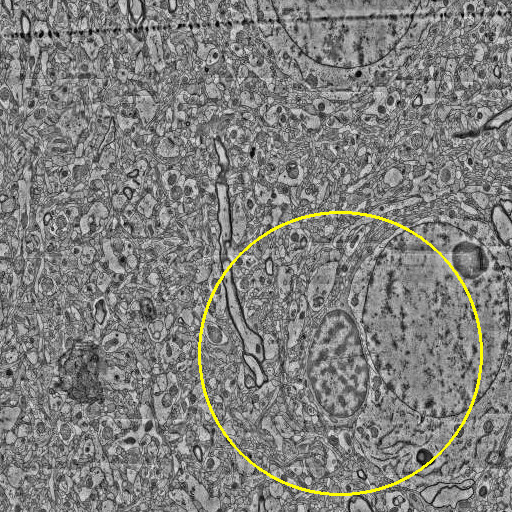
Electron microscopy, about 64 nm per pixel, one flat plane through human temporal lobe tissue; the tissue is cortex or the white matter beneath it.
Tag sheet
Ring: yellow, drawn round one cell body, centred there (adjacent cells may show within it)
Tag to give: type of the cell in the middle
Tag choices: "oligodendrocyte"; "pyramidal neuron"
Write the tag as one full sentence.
I tag the cell centred in the yellow ring as an oligodendrocyte in this picture.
